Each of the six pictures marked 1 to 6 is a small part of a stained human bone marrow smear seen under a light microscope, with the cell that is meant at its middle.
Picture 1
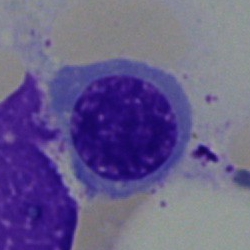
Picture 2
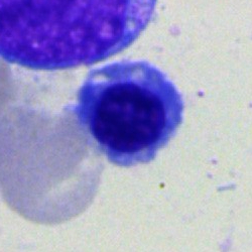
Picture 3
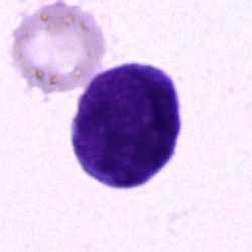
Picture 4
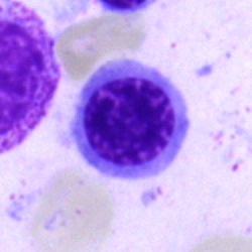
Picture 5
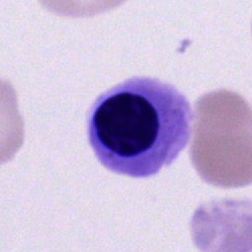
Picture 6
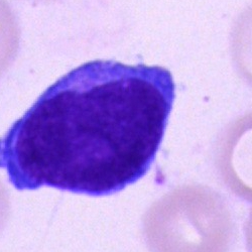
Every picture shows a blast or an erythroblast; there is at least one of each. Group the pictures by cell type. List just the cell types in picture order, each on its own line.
erythroblast
erythroblast
blast
erythroblast
erythroblast
blast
